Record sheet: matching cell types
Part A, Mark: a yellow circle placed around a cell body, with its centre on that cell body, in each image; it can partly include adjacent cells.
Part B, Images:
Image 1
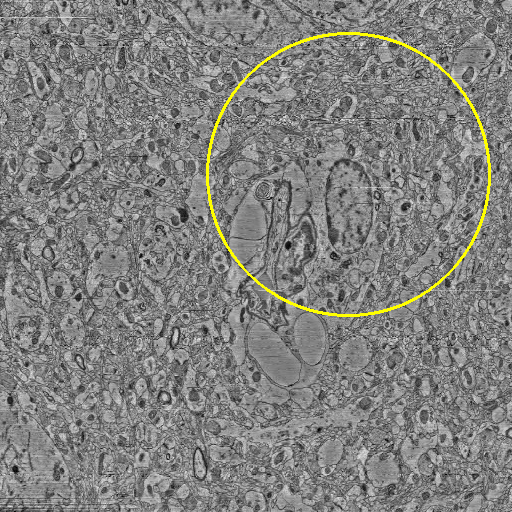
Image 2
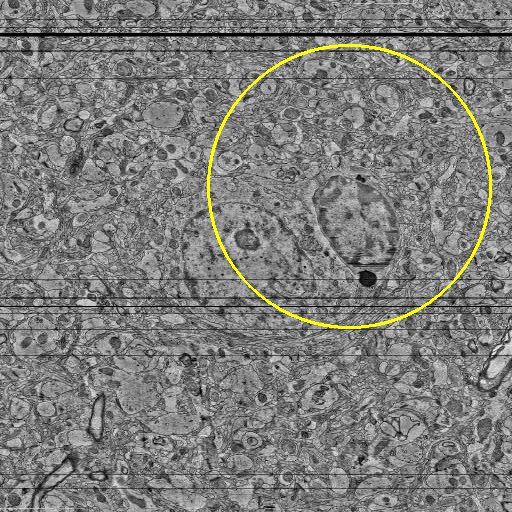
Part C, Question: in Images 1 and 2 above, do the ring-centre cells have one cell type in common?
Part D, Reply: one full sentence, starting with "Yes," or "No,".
No, the ring-centre cells of Image 1 and Image 2 are each of a separate cell type.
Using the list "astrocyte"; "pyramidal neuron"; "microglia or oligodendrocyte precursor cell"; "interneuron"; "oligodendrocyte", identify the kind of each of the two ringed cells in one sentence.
The first is a microglial cell or oligodendrocyte precursor cell and the second is an oligodendrocyte.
